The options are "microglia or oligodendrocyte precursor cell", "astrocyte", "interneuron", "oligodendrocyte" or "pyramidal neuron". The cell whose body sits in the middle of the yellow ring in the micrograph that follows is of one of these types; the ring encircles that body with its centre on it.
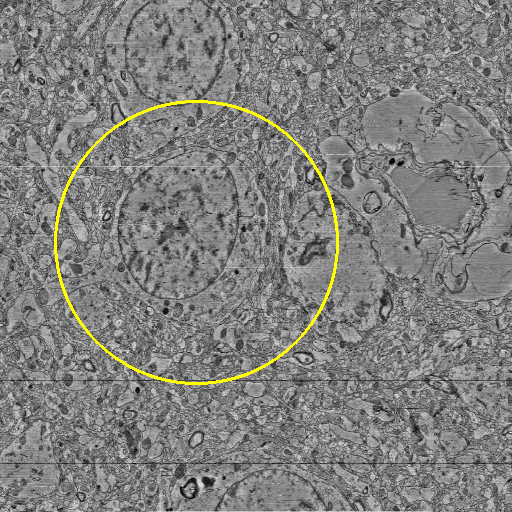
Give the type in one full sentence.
Going by the micrograph, the cell centred in the yellow ring is a pyramidal neuron.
